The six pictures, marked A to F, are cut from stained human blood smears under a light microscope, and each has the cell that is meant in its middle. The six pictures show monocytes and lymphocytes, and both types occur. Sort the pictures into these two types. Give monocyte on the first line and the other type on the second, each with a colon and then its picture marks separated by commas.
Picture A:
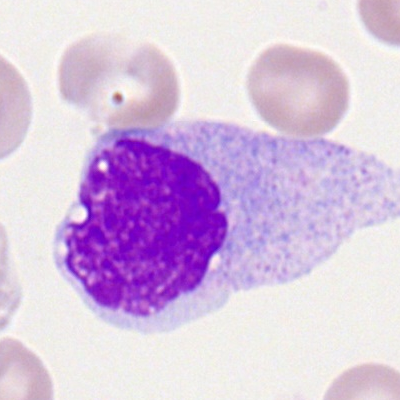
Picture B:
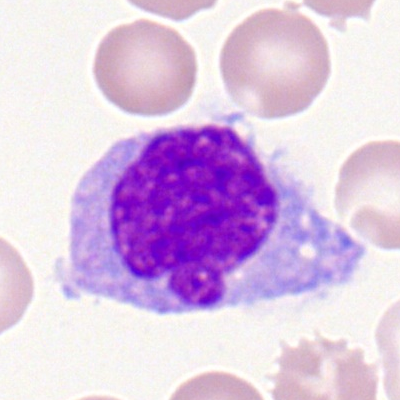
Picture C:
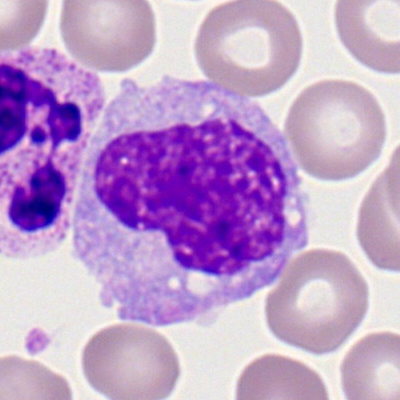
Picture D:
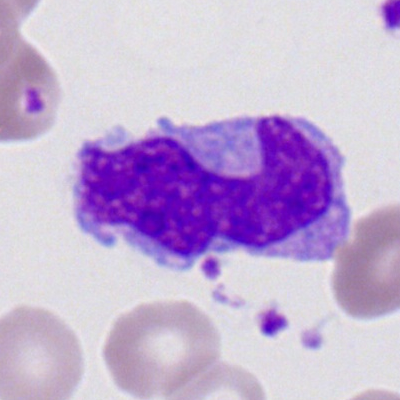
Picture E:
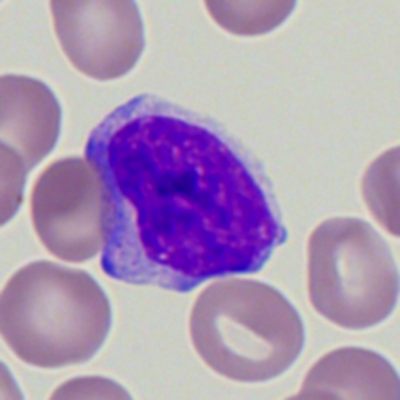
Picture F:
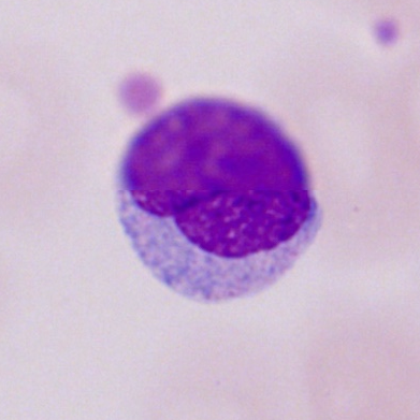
monocyte: A, B, C, D
lymphocyte: E, F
